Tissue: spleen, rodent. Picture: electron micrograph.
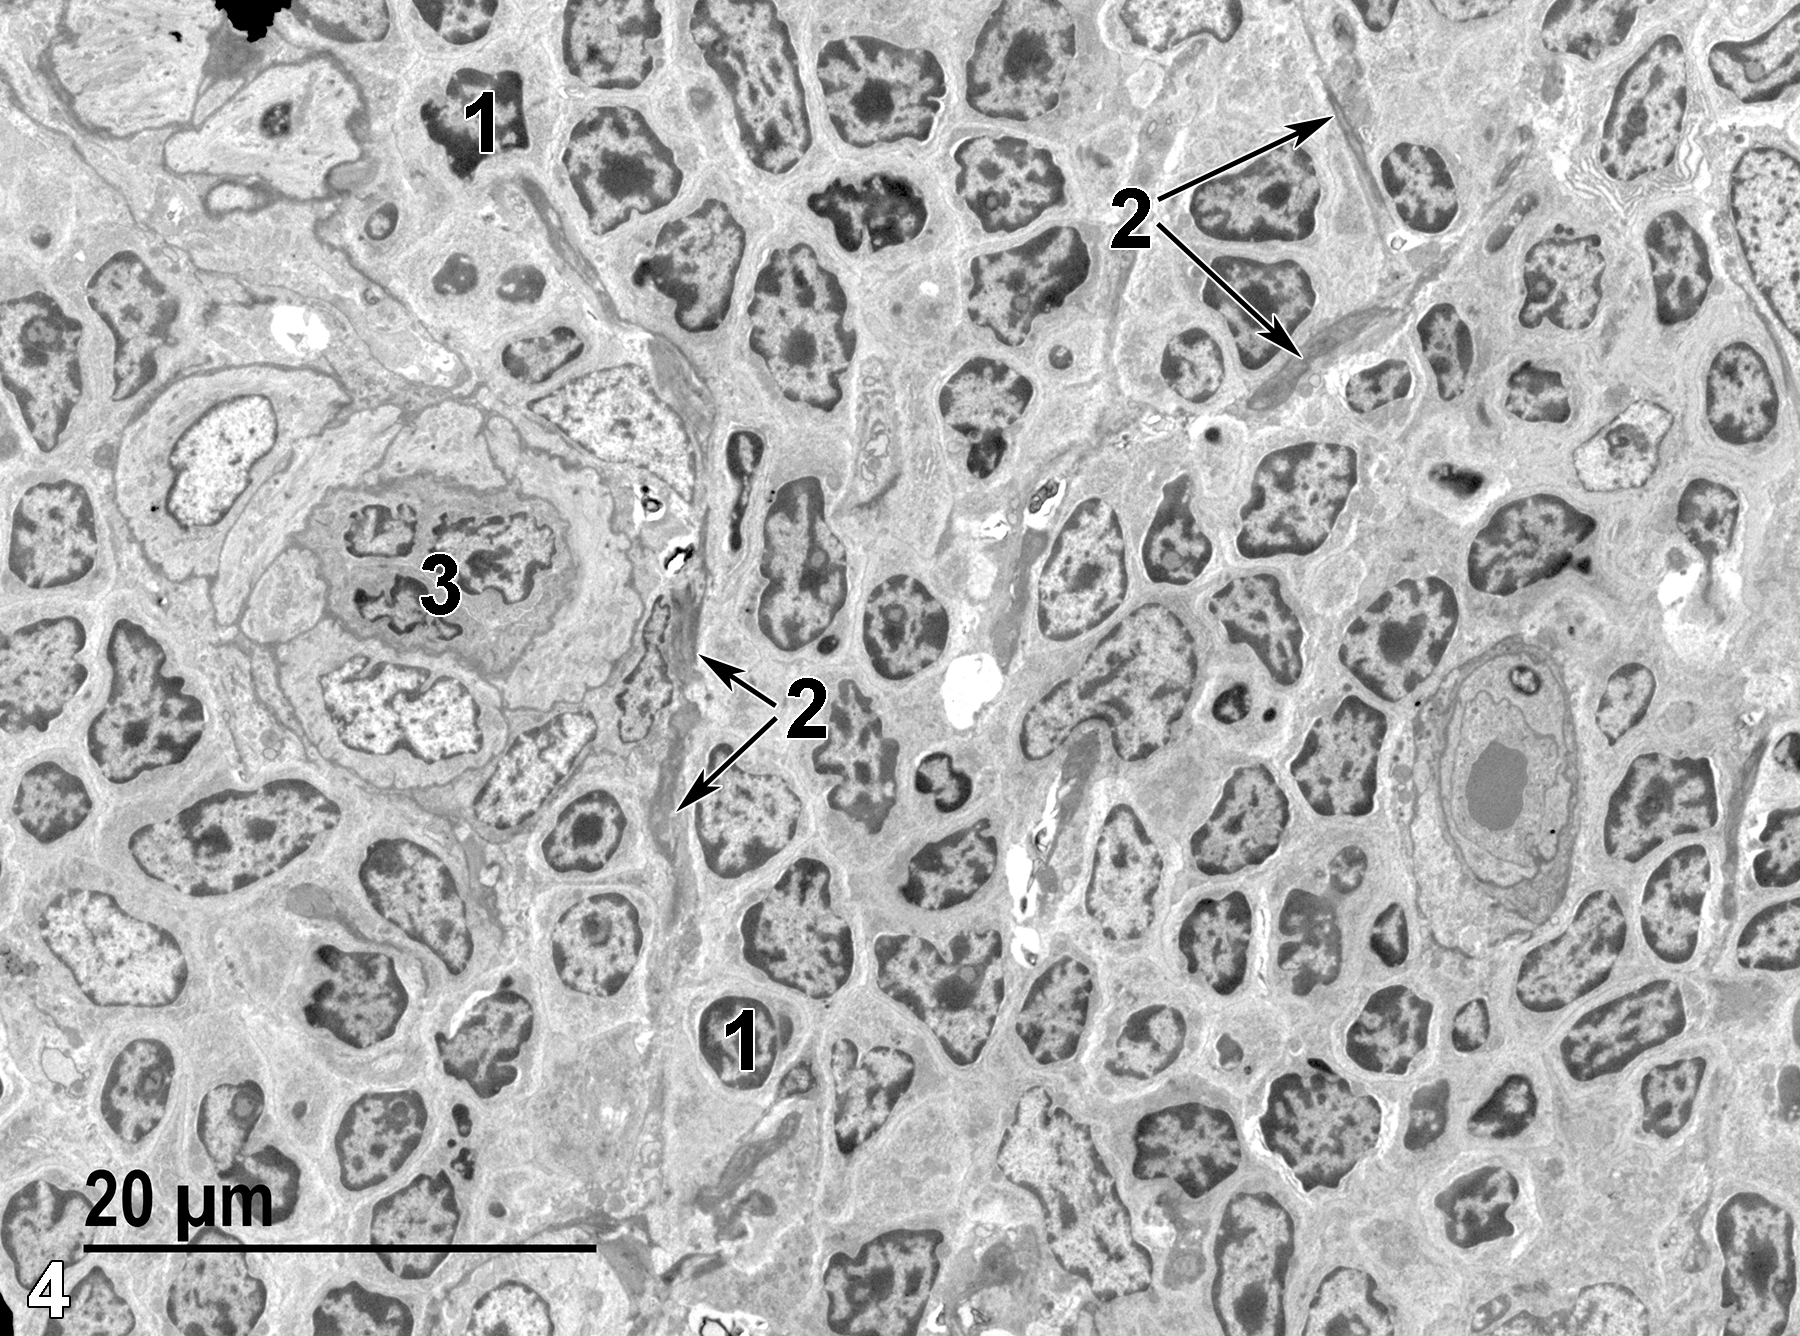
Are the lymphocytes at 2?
No, it marks the electron-dense portions of the reticular meshwork; the lymphocytes are at 1.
